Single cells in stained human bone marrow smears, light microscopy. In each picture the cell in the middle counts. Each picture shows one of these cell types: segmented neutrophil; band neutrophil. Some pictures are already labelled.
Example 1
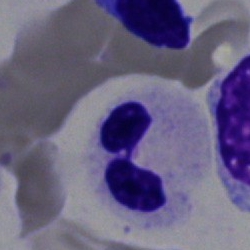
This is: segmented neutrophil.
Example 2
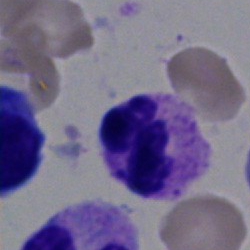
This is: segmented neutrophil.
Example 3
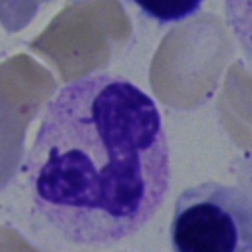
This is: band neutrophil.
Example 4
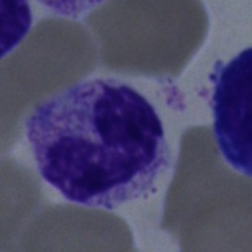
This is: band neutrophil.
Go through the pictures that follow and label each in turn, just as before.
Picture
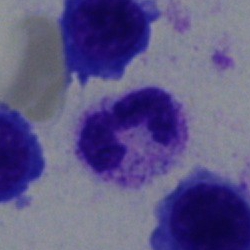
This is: segmented neutrophil.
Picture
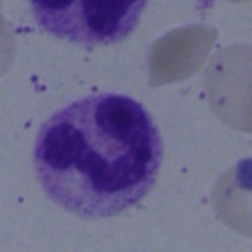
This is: band neutrophil.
